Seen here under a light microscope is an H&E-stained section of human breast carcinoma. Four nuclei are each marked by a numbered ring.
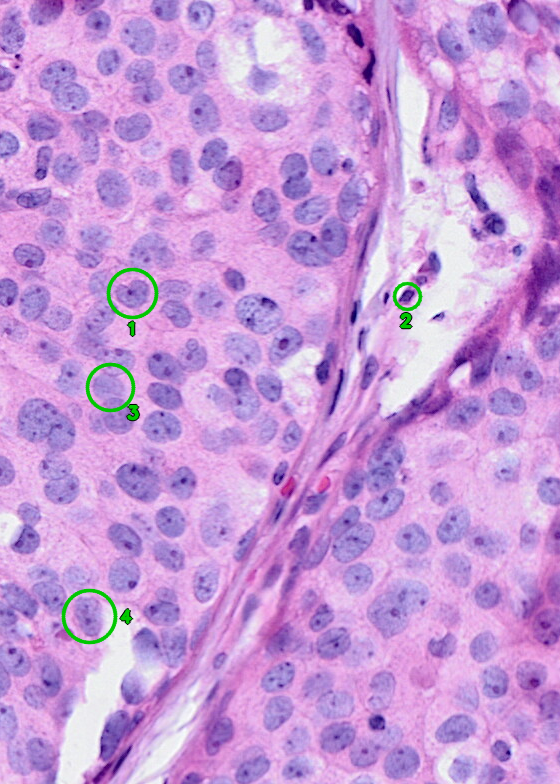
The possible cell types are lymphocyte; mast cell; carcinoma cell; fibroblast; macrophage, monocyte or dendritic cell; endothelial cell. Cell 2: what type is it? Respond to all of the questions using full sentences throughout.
Identified by the number 2, the cell is a mast cell.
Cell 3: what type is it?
The label 3 in this section denotes a carcinoma cell.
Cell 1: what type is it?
Among the marked nuclei, number 1 belongs to a carcinoma cell.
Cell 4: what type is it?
In the marked set, the cell given number 4 is a carcinoma cell.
